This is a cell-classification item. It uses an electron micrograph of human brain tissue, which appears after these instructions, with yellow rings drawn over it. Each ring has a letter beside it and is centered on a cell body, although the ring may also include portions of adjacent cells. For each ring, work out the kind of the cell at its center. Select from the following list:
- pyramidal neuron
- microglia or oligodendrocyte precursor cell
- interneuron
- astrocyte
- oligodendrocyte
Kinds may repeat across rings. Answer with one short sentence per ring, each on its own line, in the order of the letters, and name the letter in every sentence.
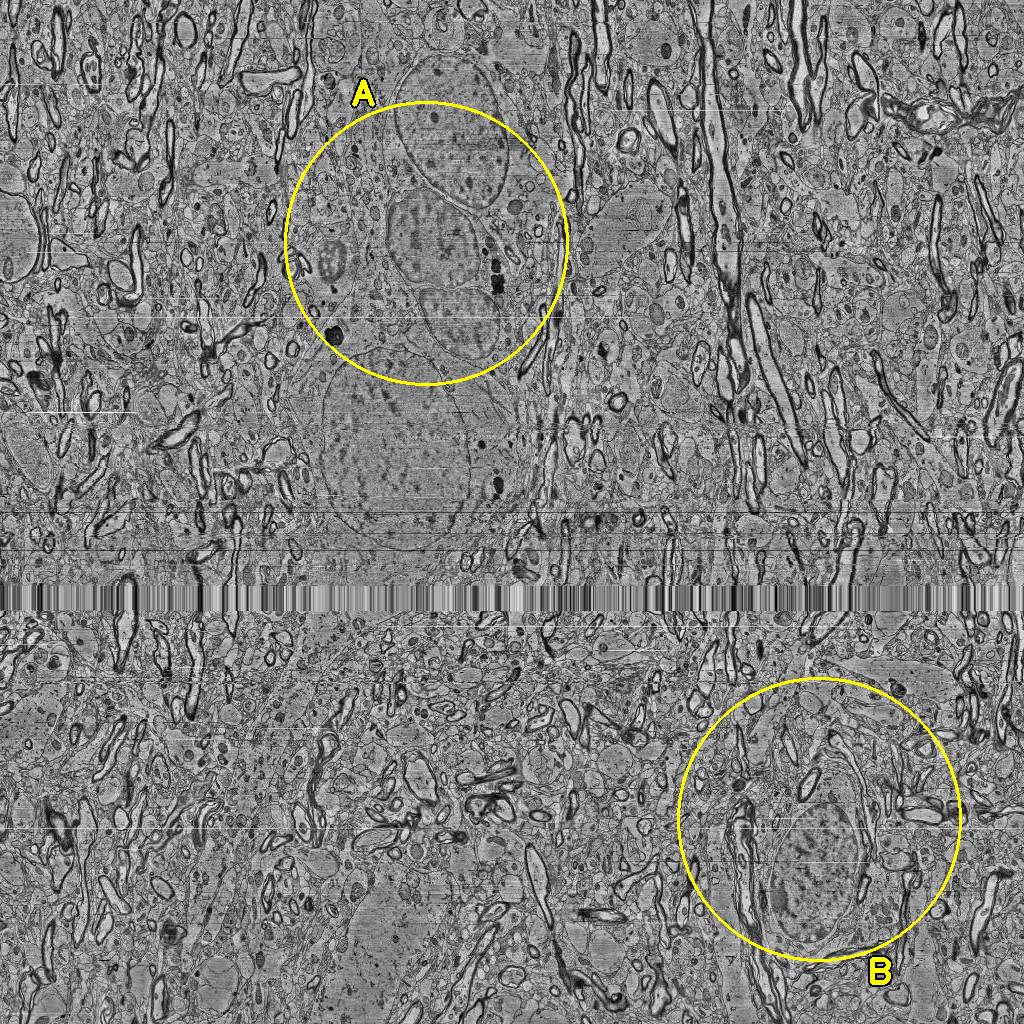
Ring A has an oligodendrocyte at its center.
Ring B has a microglial cell or oligodendrocyte precursor cell at its center.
